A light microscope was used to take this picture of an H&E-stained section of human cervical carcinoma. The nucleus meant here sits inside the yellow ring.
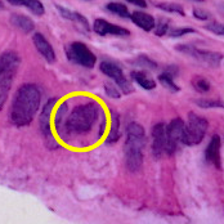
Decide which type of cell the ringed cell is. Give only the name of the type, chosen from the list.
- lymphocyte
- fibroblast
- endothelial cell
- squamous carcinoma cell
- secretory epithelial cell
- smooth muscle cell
secretory epithelial cell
